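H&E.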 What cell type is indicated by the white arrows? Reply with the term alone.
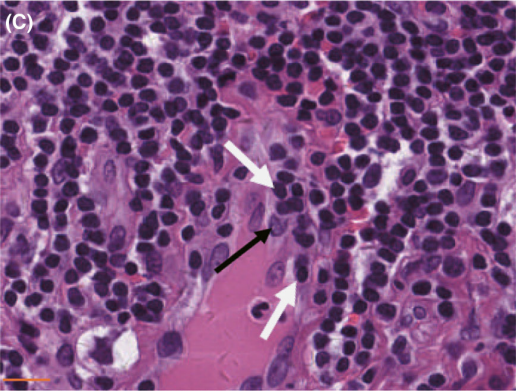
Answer: lymphocytes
